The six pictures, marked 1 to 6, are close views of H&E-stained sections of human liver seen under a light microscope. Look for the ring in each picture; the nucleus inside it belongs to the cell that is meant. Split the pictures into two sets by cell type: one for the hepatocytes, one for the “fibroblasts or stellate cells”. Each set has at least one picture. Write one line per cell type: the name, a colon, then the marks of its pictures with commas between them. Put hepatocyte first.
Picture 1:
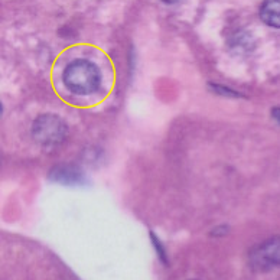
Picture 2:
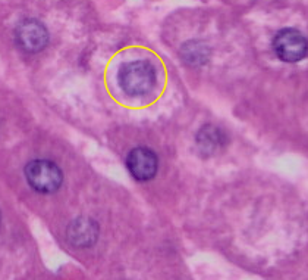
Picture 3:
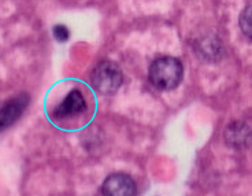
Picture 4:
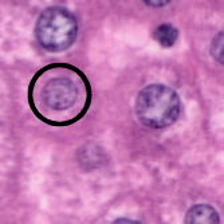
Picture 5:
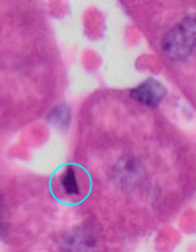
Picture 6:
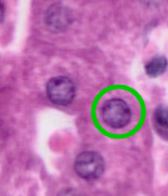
hepatocyte: 1, 2, 4, 6
fibroblast or stellate cell: 3, 5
